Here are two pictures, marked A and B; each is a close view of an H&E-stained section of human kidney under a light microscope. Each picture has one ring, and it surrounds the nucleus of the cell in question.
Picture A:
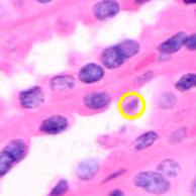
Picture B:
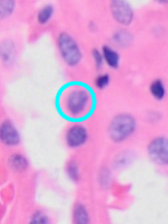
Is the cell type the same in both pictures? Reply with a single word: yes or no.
yes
